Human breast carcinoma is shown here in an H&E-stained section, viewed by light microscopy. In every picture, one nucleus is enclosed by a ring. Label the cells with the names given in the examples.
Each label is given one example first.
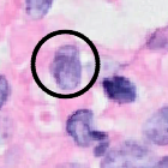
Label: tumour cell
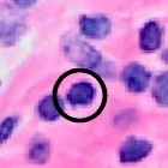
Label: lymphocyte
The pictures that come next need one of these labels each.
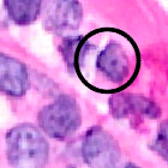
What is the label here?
tumour cell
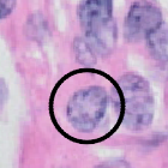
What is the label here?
tumour cell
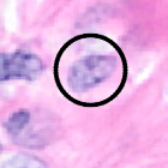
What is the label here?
tumour cell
